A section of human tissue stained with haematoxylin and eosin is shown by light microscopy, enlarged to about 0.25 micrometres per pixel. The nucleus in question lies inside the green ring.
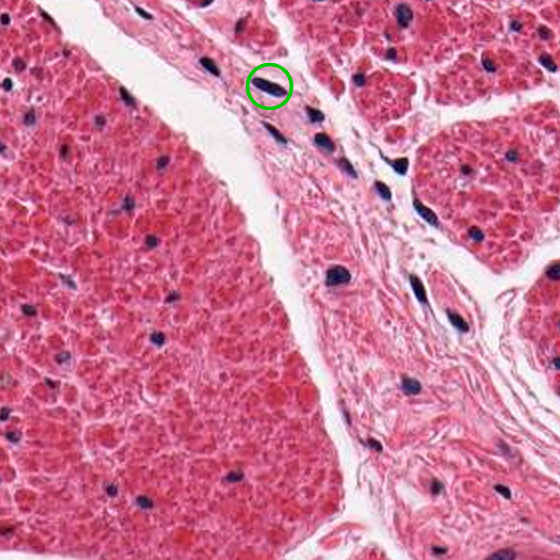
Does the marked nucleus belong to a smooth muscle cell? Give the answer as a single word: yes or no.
no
